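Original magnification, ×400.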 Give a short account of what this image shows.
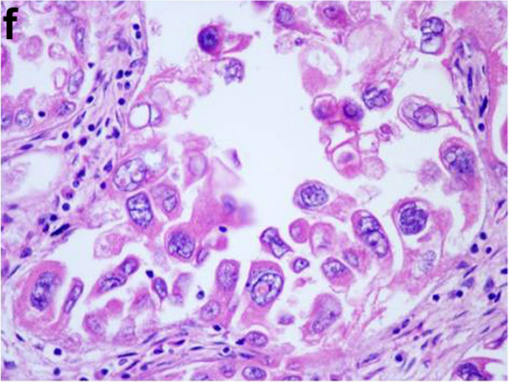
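Tumor cells line an open gland-like space, with markedly enlarged, pleomorphic nuclei showing severe atypia. The cytoplasm is pink to clear, and some cells project into the lumen. Thin stroma with small dark spindle and lymphoid nuclei lies around the space.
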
